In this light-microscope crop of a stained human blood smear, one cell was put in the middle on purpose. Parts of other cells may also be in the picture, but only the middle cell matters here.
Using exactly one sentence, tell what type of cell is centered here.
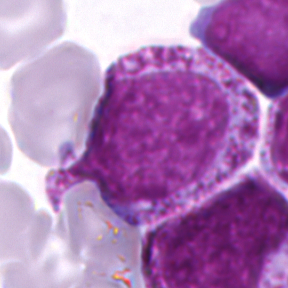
Classified as a myelocyte is the cell in the middle of this crop.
